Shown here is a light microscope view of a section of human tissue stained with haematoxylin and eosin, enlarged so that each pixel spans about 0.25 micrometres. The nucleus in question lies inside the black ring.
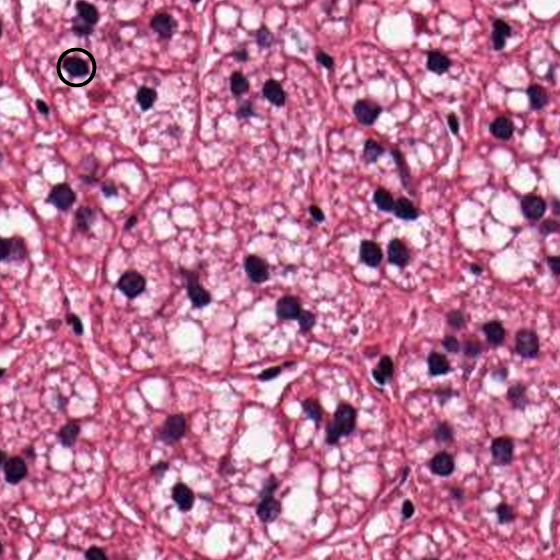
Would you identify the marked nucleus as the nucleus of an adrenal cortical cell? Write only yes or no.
yes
